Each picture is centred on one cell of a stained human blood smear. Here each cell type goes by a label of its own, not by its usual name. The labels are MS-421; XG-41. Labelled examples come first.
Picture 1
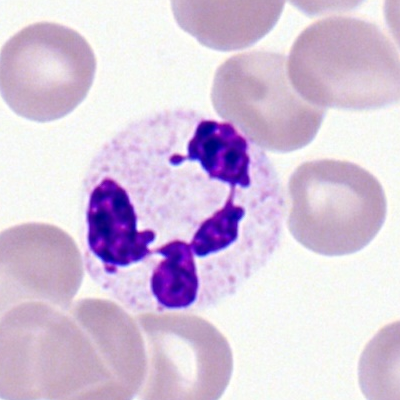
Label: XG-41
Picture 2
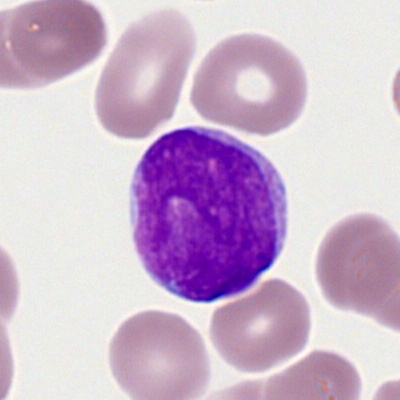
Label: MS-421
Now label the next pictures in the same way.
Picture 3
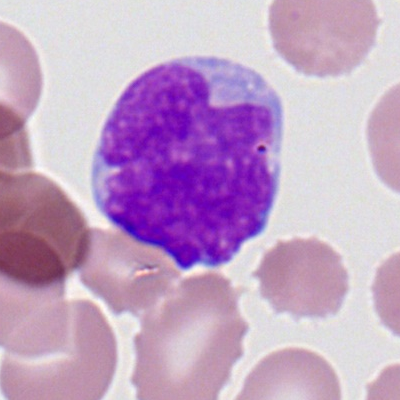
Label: MS-421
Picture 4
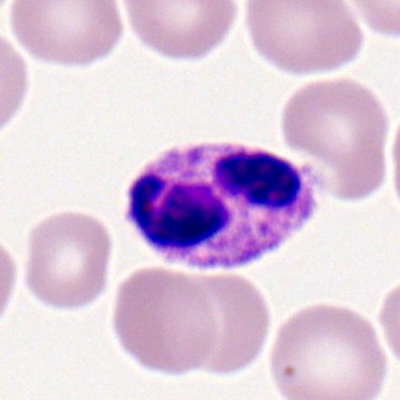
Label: XG-41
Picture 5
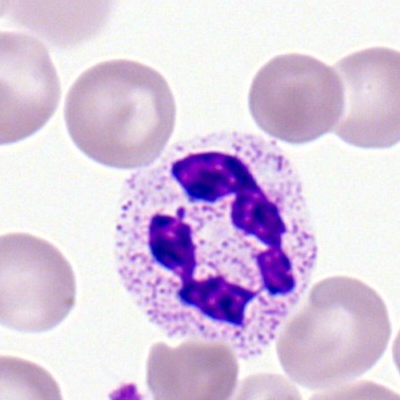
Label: XG-41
